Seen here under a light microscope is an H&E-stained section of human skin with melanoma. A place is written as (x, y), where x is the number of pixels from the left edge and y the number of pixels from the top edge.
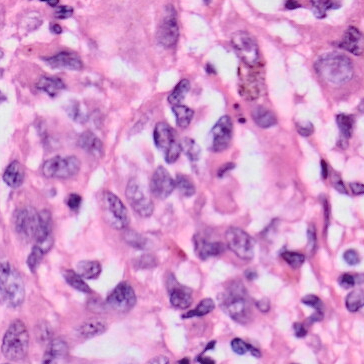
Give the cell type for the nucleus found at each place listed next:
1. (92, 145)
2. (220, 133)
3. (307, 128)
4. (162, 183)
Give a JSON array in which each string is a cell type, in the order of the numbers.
["melanoma cell", "melanoma cell", "macrophage or monocyte", "melanoma cell"]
